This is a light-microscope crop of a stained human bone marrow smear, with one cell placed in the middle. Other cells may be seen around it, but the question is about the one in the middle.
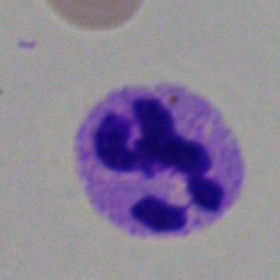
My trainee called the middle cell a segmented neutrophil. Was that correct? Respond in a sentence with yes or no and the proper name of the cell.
Yes, the middle of the crop is occupied by a segmented neutrophil.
